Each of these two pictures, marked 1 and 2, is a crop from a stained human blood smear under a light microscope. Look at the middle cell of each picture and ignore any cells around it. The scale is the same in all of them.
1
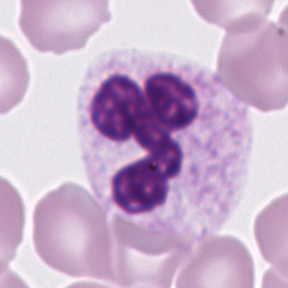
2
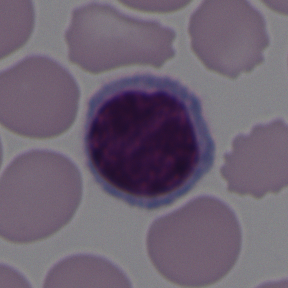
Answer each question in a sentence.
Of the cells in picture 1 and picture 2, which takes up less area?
Picture 2 holds the smaller cell, since the cell in picture 1 covers about 2 times as much area.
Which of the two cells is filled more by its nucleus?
It is the cell in picture 2 that is filled more by its nucleus.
